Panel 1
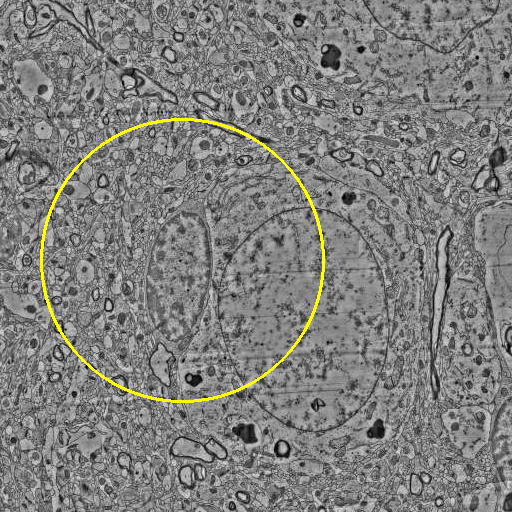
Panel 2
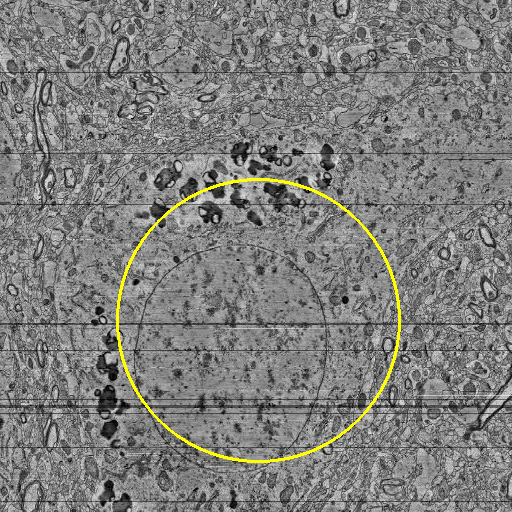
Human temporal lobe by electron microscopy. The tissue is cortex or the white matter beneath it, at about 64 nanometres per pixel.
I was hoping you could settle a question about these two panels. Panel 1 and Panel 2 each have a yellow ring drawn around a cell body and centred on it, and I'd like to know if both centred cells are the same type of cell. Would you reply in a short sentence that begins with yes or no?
No, they are two types of cell.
